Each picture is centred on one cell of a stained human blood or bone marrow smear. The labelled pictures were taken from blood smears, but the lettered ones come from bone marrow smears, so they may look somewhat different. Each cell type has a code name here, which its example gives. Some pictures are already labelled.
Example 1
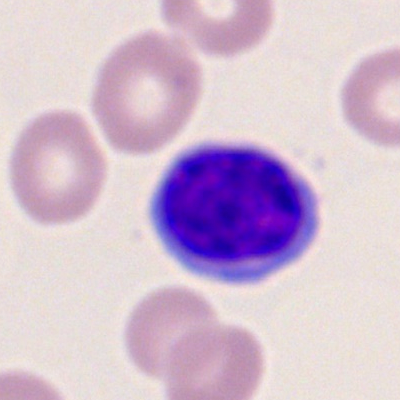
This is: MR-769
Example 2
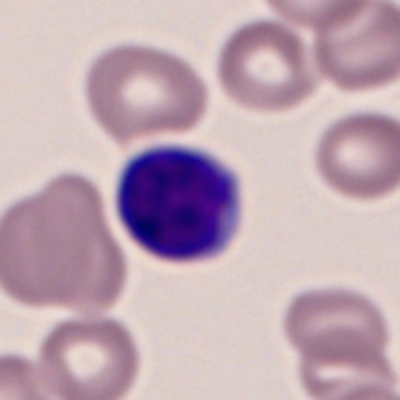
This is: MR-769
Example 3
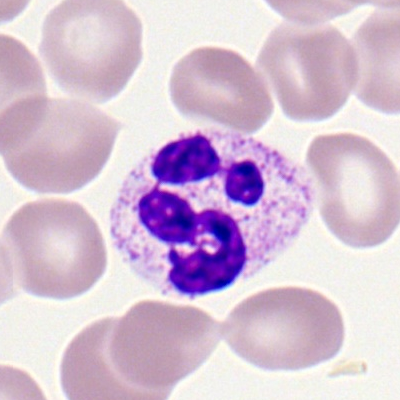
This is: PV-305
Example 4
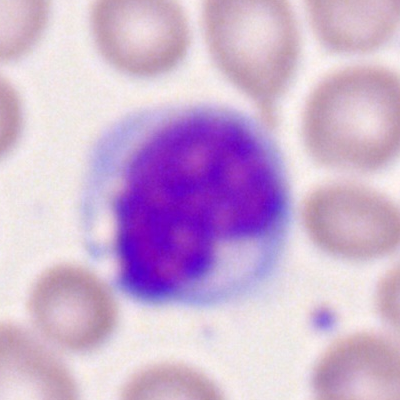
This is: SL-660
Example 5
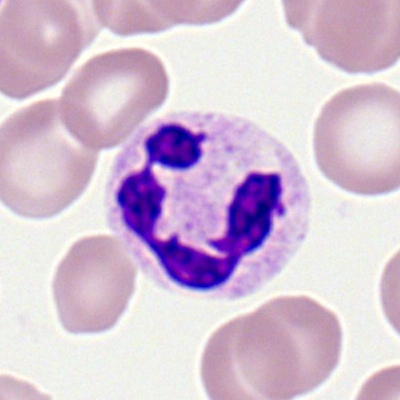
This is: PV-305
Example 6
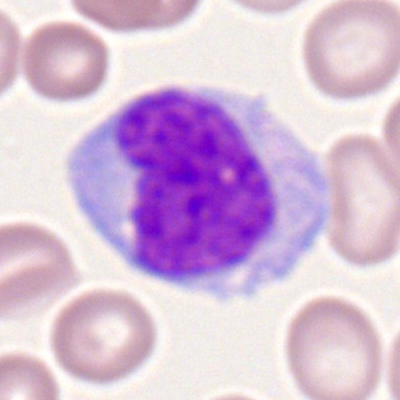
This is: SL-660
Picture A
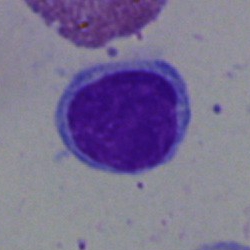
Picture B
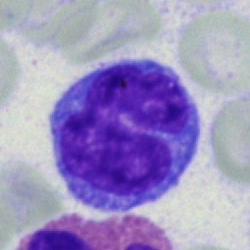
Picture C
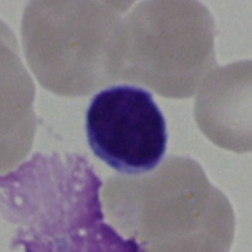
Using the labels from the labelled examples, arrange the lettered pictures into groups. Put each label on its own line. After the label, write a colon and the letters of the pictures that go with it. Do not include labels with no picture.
MR-769: A, C
SL-660: B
